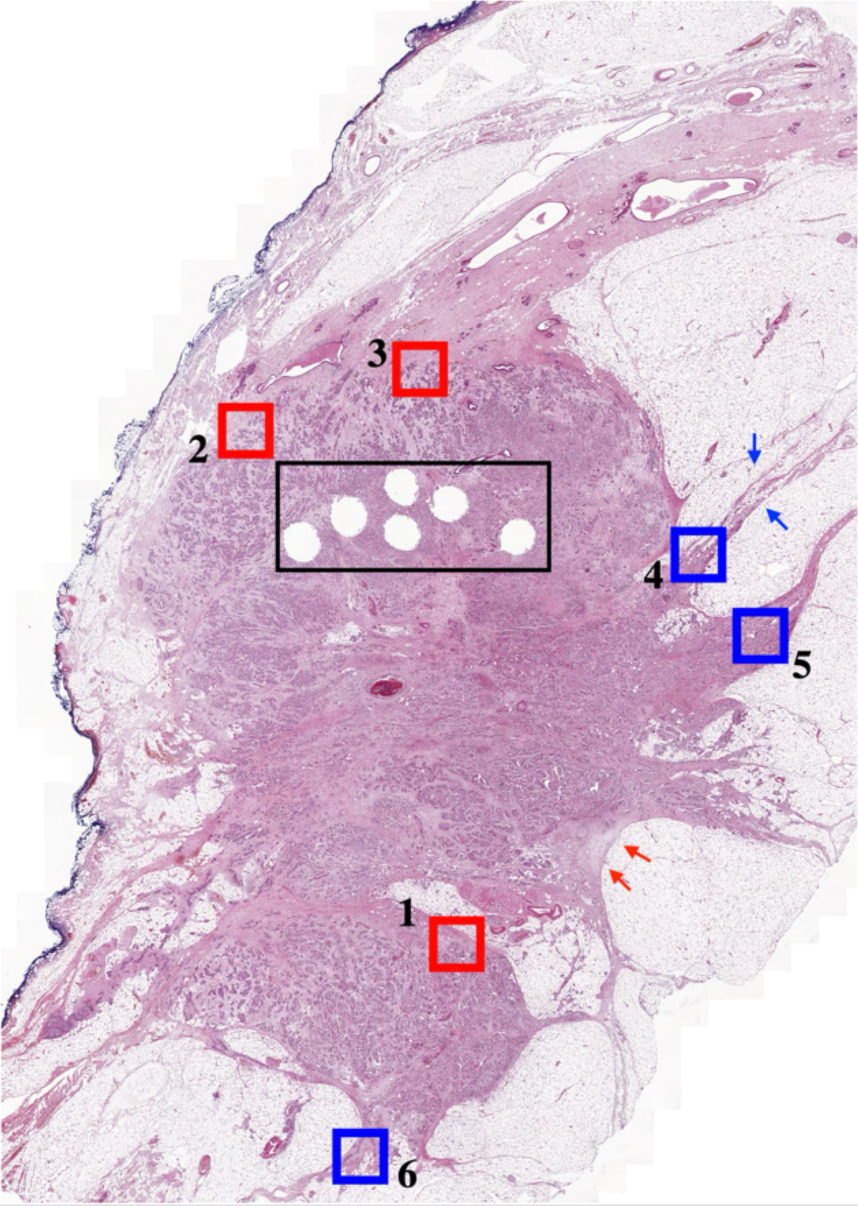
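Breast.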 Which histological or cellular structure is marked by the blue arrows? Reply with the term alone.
Collagen fingers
